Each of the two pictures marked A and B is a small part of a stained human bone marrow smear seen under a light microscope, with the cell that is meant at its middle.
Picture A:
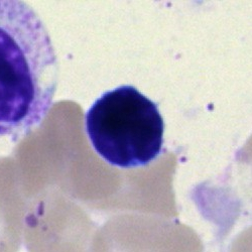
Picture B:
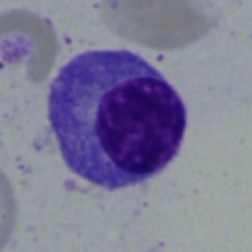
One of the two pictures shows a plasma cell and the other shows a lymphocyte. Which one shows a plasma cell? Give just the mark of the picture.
B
